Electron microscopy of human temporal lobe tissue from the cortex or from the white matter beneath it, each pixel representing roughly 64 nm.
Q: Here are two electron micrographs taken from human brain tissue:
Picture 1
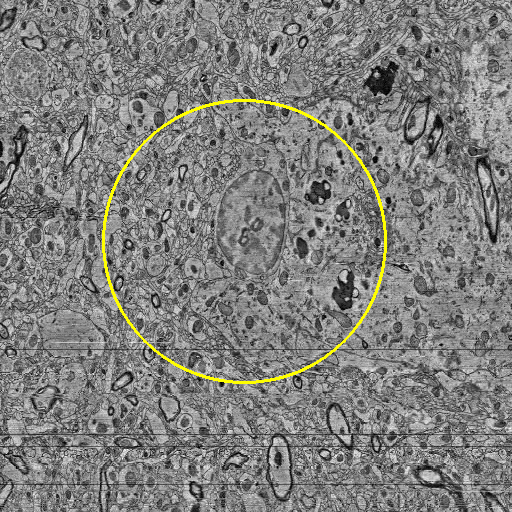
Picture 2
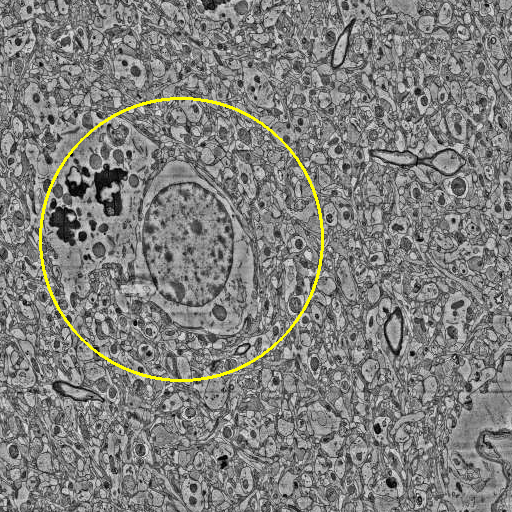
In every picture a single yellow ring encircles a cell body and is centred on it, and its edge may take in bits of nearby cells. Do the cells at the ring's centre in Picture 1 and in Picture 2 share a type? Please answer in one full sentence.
No, the cells at the ring's centre in Picture 1 and Picture 2 are of two types.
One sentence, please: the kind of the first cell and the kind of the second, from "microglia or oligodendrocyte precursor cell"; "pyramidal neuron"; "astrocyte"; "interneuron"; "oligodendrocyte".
The ring in the first picture surrounds an oligodendrocyte, and the ring in the second surrounds an astrocyte.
